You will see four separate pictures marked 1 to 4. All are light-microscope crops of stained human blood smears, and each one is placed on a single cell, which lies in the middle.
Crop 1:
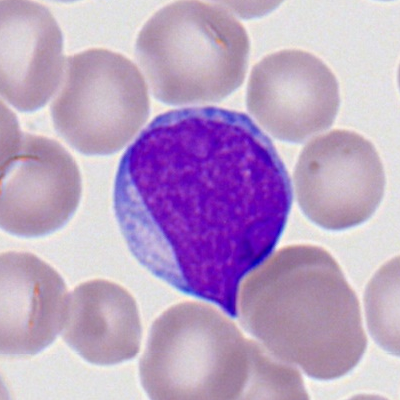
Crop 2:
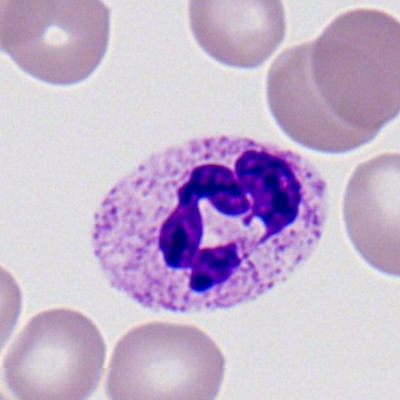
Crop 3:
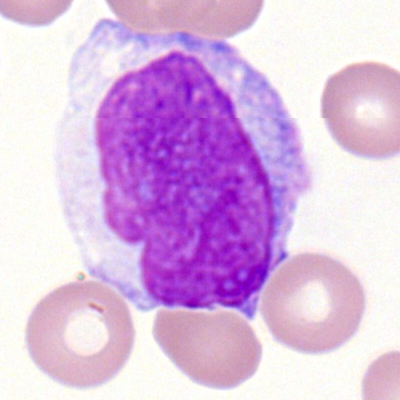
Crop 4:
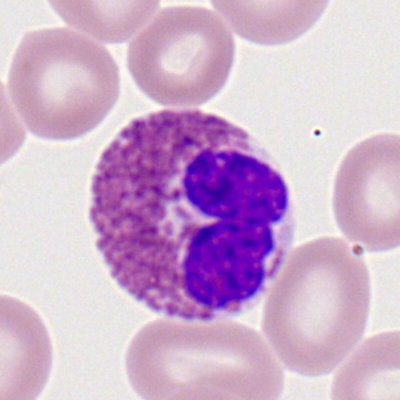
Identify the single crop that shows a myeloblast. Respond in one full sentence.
On review of the set, crop 1 is the one showing a myeloblast.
